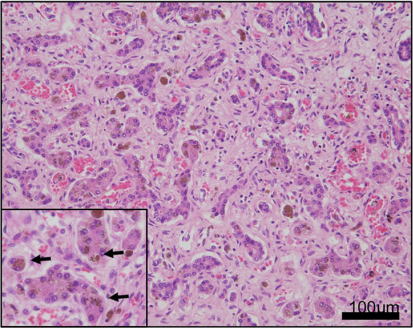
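Liver with fibrosis, loss of hepatocytes and bile-duct proliferation. Many small ductules lined by cuboidal cells with dark nuclei lie scattered in a pale pink fibrous stroma. Between them sit small clusters and cords of hepatocytes with pink cytoplasm and round nuclei. Dark-brown granular pigment fills the cytoplasm of many of these hepatocytes, as seen at higher magnification in the inset. Normal plate-like lobular architecture is lost.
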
